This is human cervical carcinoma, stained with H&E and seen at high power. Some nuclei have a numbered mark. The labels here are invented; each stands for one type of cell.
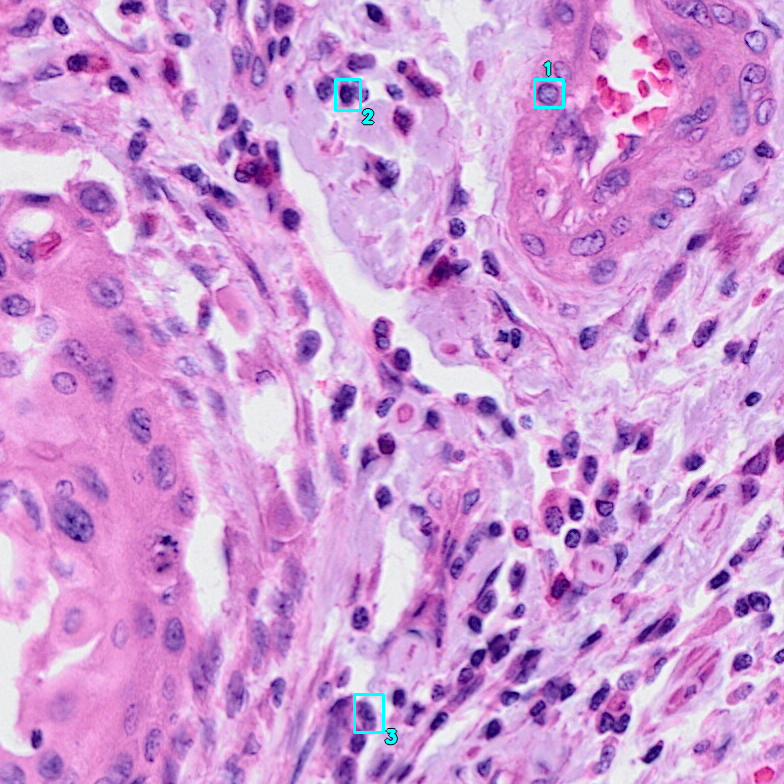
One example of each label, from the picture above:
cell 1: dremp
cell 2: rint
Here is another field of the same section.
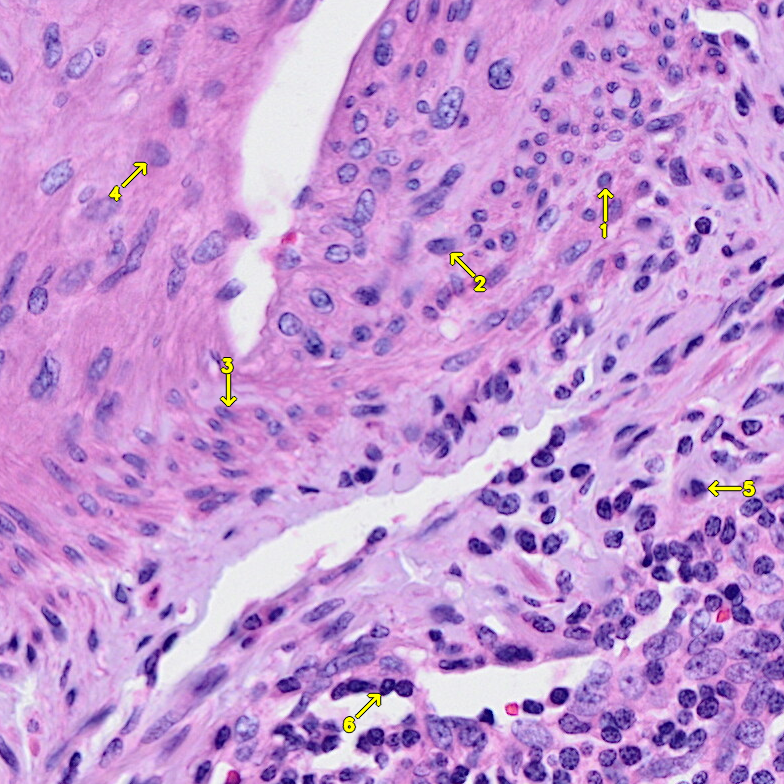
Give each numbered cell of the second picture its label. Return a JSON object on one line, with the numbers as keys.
{"1": "dremp", "2": "dremp", "3": "dremp", "4": "dremp", "5": "rint", "6": "rint"}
